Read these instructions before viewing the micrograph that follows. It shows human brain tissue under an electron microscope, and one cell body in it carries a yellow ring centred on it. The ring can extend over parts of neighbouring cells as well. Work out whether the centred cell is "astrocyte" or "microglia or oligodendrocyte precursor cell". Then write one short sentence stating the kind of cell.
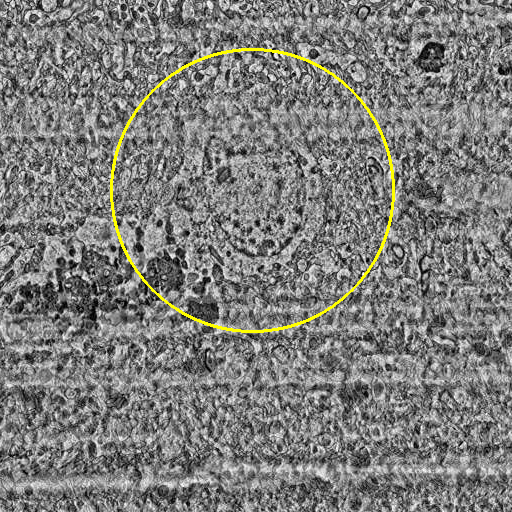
The ringed cell is an astrocyte.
